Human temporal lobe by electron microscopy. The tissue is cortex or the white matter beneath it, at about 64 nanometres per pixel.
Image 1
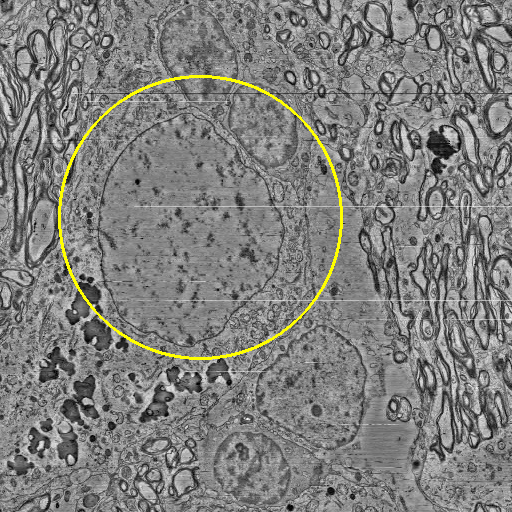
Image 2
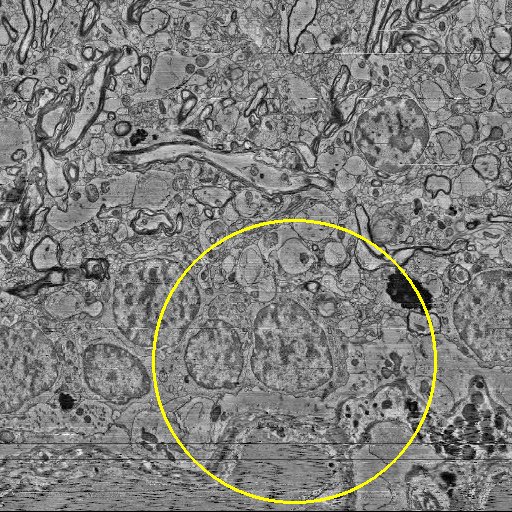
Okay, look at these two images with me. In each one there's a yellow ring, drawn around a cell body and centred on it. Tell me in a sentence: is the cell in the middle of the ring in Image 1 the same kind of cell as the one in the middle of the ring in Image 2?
No, they're two kinds of cell.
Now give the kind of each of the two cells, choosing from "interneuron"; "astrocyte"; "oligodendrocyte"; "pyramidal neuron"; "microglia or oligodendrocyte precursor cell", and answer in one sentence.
The cell in the first picture is a pyramidal neuron, and the cell in the second is an oligodendrocyte.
